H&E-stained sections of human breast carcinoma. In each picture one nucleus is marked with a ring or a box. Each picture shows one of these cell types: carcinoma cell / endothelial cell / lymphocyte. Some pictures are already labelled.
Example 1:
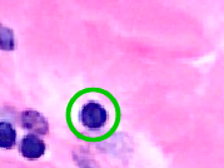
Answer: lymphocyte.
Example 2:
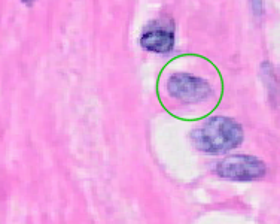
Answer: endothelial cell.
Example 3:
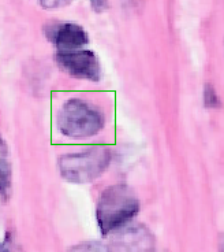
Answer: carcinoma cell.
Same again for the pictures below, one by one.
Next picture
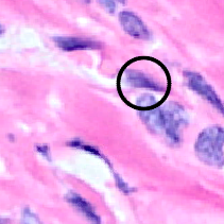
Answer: endothelial cell.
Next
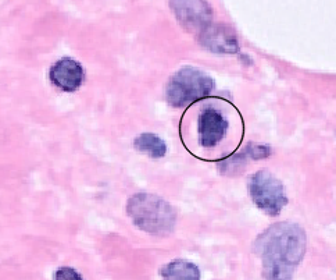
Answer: lymphocyte.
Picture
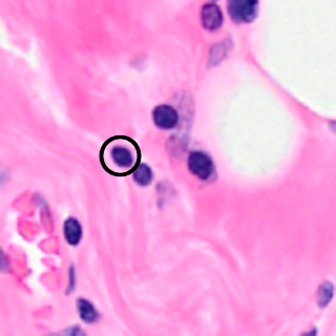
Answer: lymphocyte.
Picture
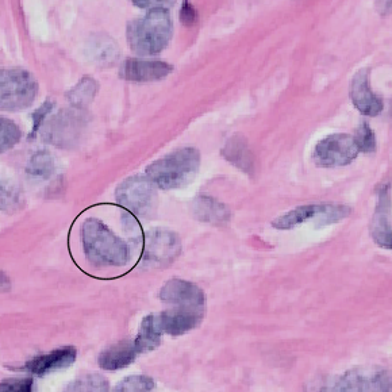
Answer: carcinoma cell.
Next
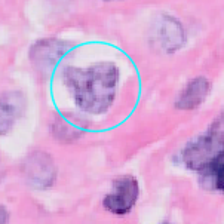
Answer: carcinoma cell.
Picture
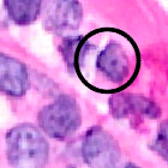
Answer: carcinoma cell.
